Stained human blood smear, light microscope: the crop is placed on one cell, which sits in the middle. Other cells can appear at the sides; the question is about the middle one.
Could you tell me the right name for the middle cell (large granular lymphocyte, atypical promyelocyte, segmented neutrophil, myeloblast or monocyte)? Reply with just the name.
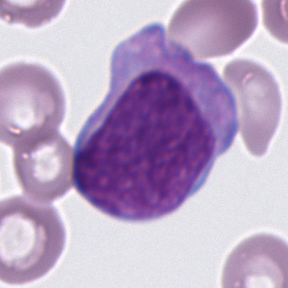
atypical promyelocyte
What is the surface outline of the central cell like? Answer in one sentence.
The cell is outlined unevenly, the border being ragged or extended into projections.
